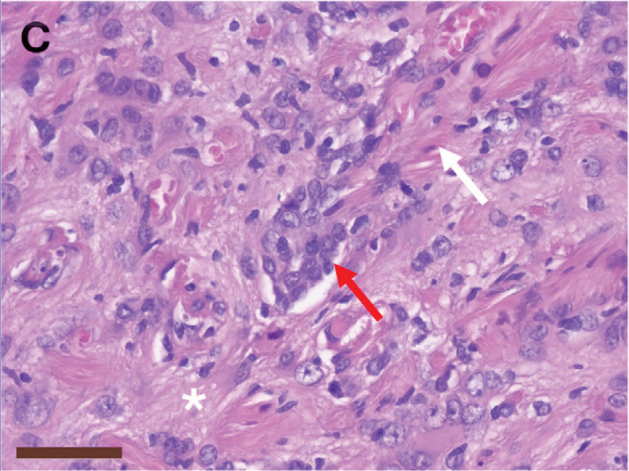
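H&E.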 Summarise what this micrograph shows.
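A pale pink, finely fibrillar glial background holds scattered nuclei, while bundles of denser, wavy pink fibres cross the field. Cells with oval, vesicular nuclei and pink cytoplasm gather in clusters beside small vessels, some of which contain red blood cells.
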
